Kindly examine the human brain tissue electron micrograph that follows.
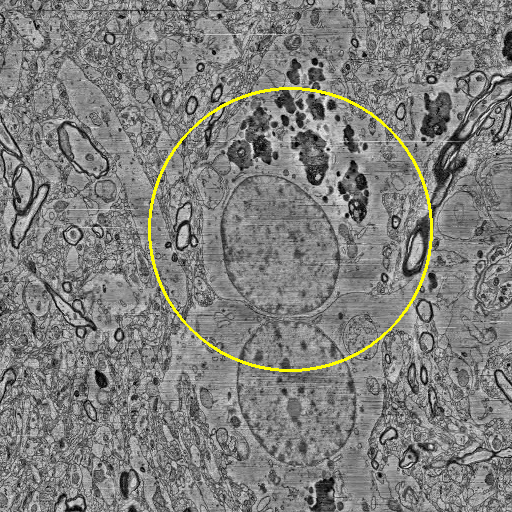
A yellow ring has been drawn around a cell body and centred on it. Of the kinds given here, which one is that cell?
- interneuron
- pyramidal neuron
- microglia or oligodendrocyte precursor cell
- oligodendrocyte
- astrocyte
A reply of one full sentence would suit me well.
The micrograph's ringed cell, the one at the ring's centre, is an astrocyte.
